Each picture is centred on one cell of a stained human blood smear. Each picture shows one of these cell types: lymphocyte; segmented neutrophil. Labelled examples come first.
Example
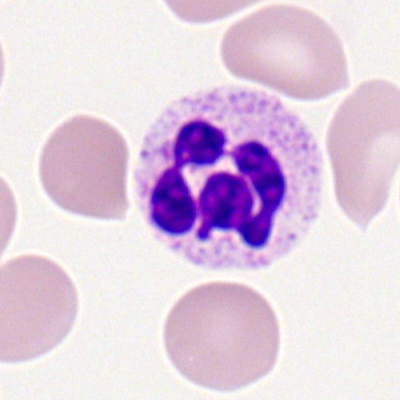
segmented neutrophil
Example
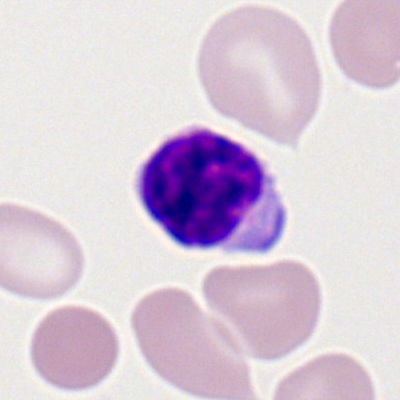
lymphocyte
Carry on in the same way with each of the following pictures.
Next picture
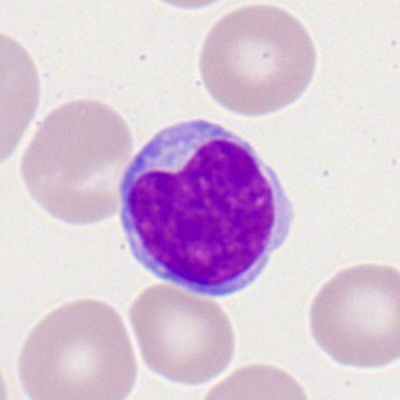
lymphocyte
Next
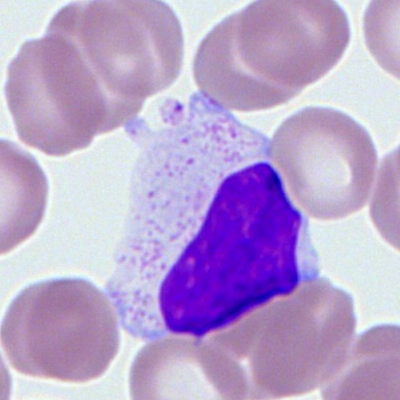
lymphocyte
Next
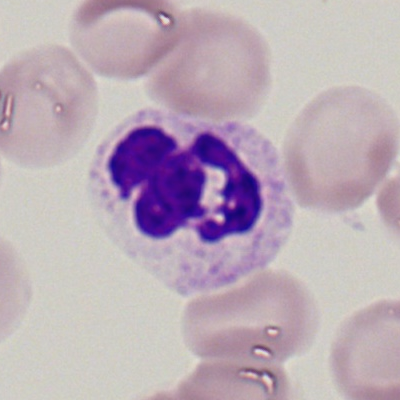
segmented neutrophil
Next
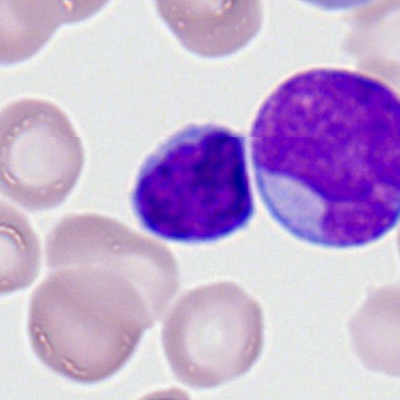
lymphocyte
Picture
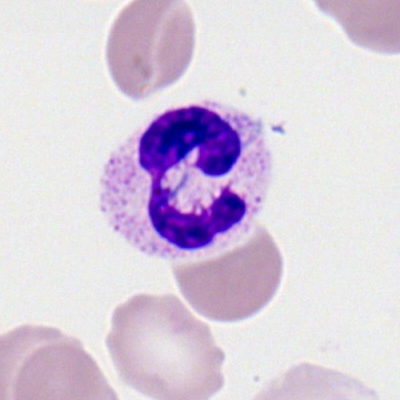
segmented neutrophil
